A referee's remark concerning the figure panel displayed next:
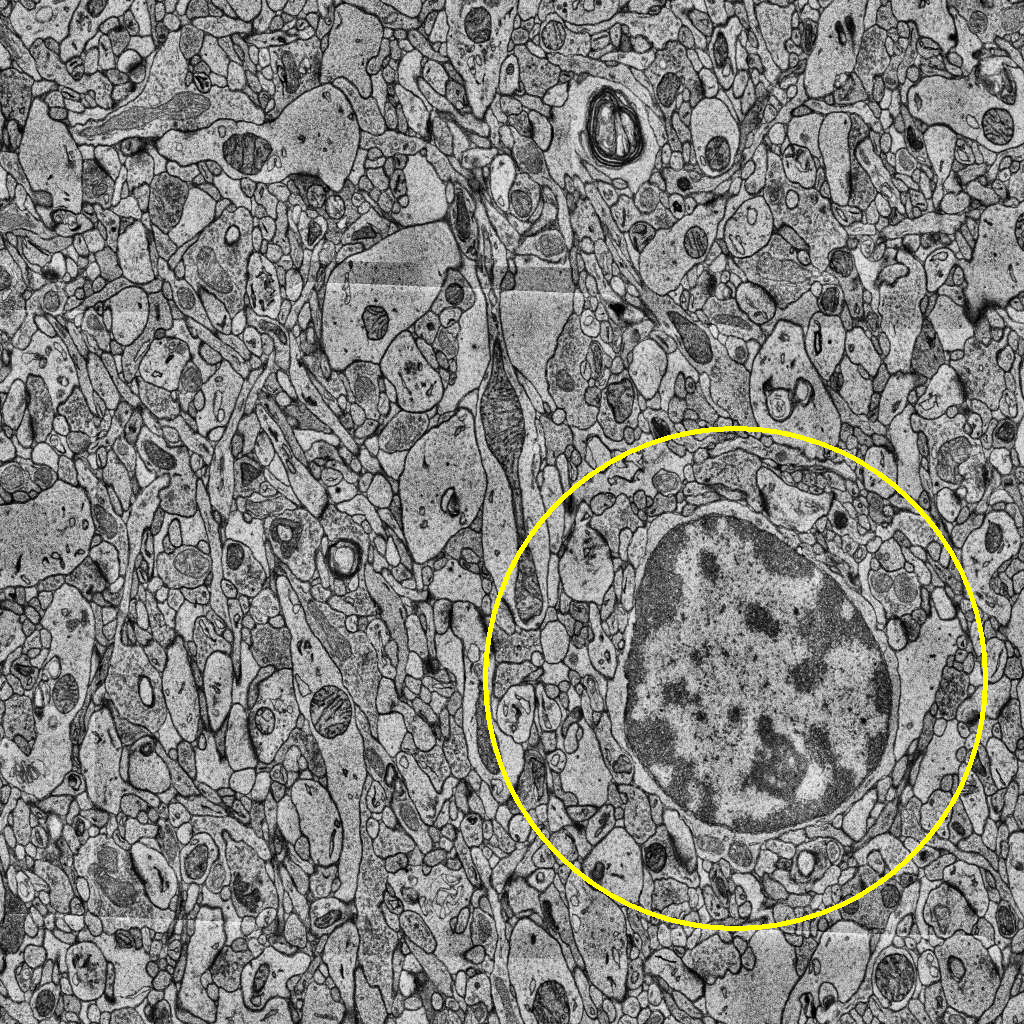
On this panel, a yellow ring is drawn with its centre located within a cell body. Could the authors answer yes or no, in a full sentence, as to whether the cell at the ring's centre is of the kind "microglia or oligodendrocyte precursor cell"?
Yes, the cell sitting at the middle of the ring on this panel belongs to that kind.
